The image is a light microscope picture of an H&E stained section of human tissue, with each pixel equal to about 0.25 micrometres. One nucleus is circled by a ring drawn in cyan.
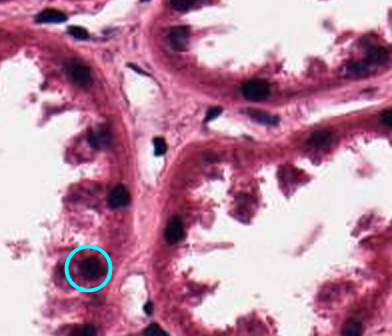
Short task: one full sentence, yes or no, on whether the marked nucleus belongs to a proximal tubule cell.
Yes, the nucleus that carries the mark belongs to a proximal tubule cell.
